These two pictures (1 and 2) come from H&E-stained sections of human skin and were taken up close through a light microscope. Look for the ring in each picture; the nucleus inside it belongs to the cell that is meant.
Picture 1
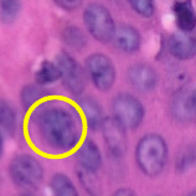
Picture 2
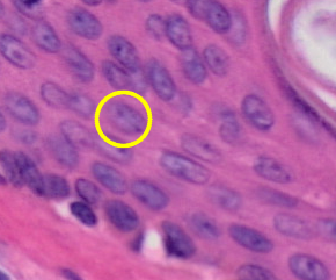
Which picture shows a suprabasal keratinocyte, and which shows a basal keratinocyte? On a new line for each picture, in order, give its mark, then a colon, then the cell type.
1: basal keratinocyte
2: suprabasal keratinocyte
